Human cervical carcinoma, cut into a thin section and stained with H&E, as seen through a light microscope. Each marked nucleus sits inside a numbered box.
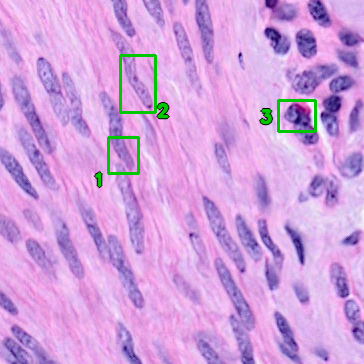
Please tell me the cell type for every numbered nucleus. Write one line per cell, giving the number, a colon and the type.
1: smooth muscle cell
2: smooth muscle cell
3: endothelial cell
